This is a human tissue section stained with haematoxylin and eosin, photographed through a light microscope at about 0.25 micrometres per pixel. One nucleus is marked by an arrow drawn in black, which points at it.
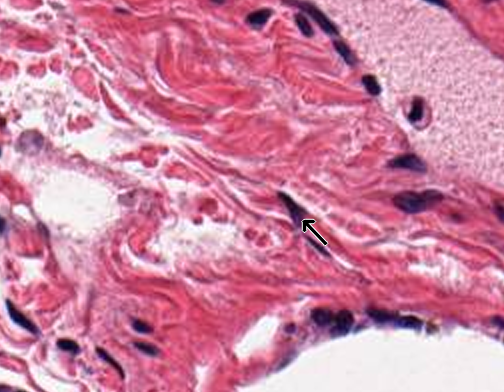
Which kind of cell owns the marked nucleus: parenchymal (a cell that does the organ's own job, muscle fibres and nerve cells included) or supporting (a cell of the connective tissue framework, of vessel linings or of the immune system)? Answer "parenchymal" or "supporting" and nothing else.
supporting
